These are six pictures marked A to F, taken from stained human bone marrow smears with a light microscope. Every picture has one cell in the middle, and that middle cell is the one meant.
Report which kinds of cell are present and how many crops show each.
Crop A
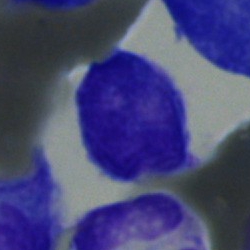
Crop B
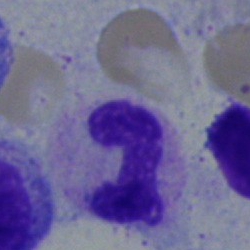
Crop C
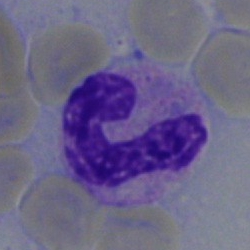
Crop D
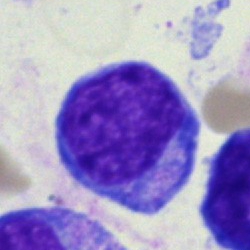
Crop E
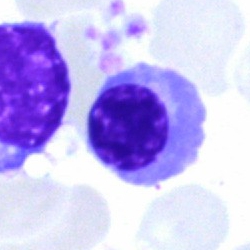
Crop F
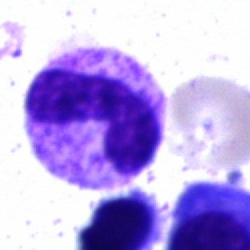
band neutrophil: 3
blast: 2
erythroblast: 1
